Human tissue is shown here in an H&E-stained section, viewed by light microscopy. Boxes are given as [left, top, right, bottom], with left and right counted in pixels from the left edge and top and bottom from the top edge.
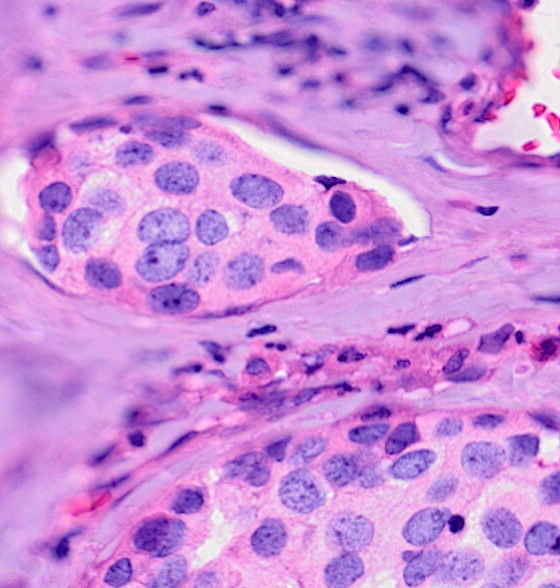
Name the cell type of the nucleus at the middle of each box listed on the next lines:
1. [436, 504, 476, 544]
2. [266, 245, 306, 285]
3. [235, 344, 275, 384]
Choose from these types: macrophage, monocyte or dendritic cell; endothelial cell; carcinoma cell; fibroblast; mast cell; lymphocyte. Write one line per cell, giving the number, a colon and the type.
1: lymphocyte
2: carcinoma cell
3: mast cell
